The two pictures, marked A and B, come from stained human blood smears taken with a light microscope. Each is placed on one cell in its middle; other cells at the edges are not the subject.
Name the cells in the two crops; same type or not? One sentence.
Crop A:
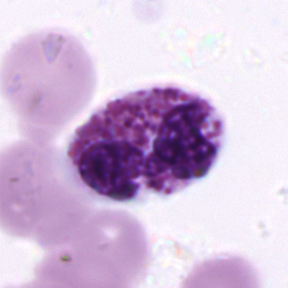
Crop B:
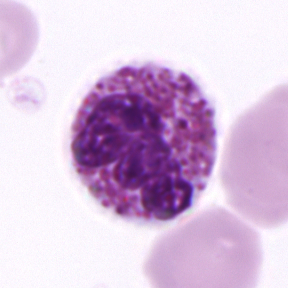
Yes, both crops alike show eosinophils at the centre.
